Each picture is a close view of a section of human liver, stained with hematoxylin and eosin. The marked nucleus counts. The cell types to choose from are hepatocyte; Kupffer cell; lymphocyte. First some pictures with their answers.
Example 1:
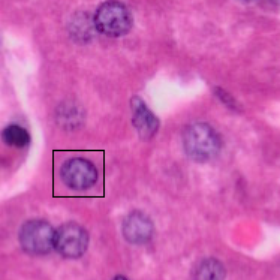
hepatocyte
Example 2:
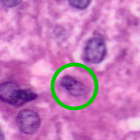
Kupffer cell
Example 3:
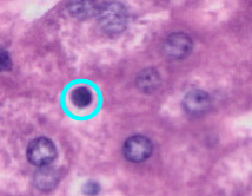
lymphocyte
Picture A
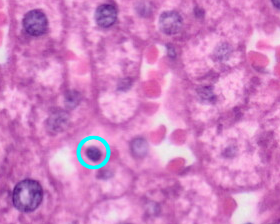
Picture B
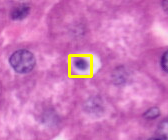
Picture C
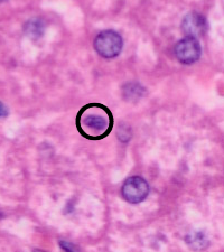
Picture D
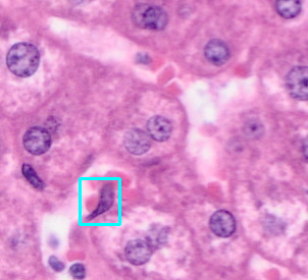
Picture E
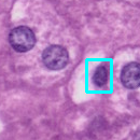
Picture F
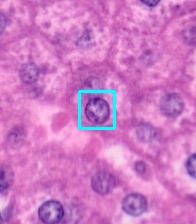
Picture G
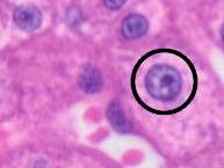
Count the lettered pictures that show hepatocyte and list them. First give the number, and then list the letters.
2, namely F, G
